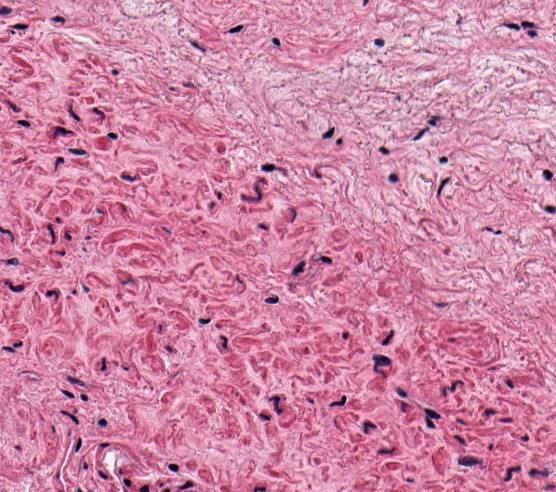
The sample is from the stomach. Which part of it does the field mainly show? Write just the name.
dense connective tissue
